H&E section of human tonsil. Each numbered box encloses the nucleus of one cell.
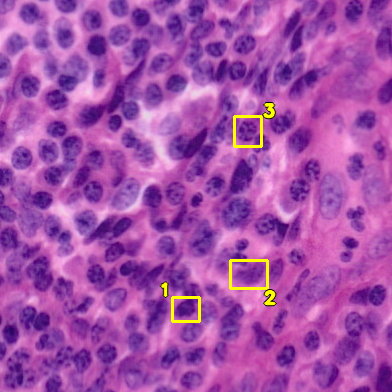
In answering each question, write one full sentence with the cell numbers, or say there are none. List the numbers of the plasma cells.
The cells numbered 1 and 3 are typed as plasma cells.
